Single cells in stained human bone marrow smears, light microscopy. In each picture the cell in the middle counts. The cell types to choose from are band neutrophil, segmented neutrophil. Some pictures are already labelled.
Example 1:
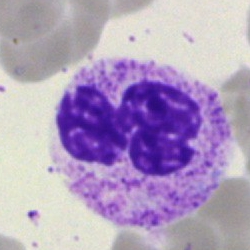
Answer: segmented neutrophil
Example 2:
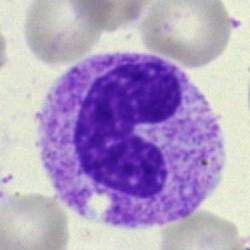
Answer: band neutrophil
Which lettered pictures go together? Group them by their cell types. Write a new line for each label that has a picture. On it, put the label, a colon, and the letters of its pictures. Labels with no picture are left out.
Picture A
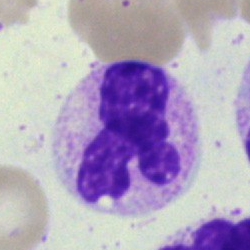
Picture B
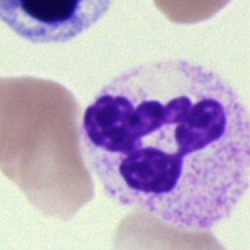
segmented neutrophil: A, B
